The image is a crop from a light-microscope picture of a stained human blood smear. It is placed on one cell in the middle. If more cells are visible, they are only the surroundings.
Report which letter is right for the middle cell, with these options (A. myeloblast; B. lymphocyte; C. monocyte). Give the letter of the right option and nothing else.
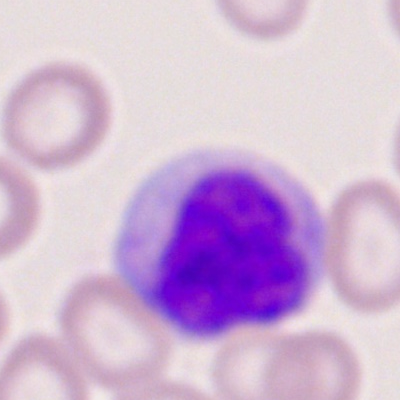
C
